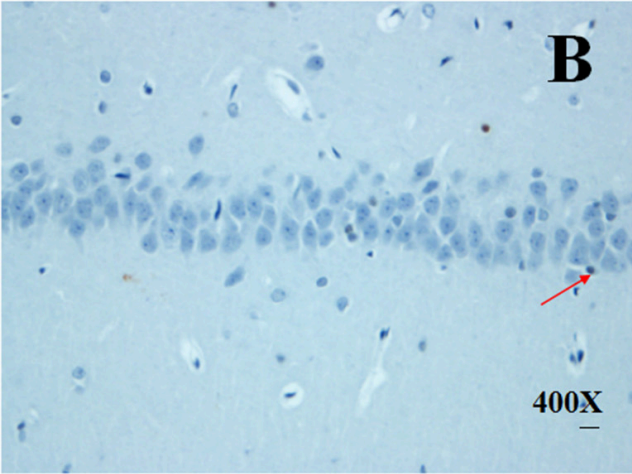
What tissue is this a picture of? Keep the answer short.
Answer: Pyramidal cell layer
